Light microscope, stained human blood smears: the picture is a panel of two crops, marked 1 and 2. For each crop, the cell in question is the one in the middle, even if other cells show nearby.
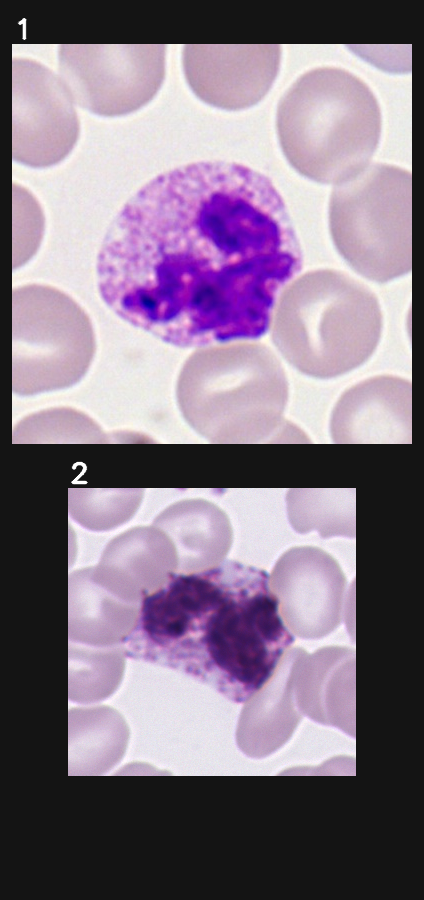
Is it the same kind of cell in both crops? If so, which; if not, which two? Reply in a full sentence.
Yes, both crops show a cell each, and these are basophils.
